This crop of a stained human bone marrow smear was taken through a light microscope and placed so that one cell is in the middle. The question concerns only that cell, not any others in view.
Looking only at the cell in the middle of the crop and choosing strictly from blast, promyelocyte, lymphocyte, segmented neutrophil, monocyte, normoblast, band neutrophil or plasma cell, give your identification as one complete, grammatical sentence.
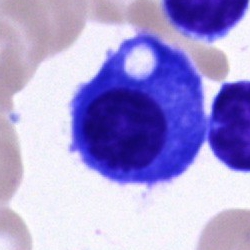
The centrally located cell in the crop is a plasma cell.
